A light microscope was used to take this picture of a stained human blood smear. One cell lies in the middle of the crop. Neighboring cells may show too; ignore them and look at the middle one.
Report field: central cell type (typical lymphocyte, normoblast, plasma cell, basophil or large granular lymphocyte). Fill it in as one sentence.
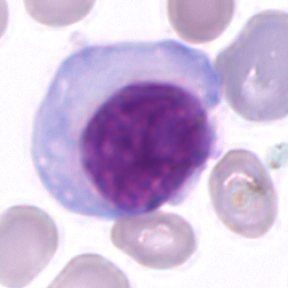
In this smear crop, the middle cell is a plasma cell.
